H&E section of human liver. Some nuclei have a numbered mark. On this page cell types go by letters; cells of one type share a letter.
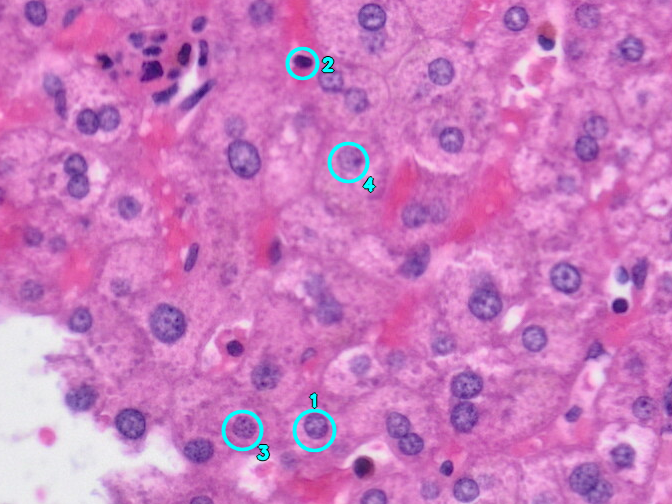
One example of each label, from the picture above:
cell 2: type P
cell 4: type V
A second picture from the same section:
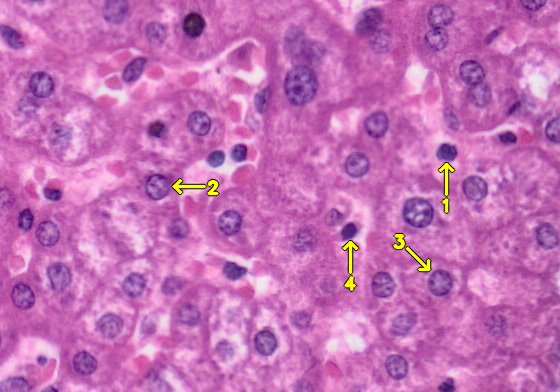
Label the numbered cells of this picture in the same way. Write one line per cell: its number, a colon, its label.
1: type P
2: type V
3: type V
4: type P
